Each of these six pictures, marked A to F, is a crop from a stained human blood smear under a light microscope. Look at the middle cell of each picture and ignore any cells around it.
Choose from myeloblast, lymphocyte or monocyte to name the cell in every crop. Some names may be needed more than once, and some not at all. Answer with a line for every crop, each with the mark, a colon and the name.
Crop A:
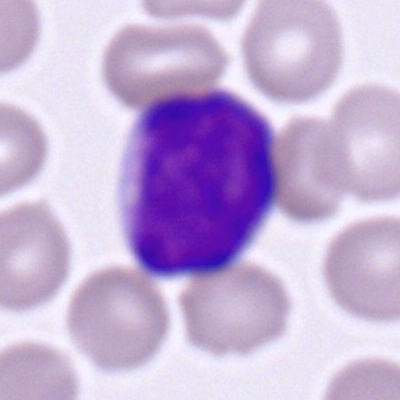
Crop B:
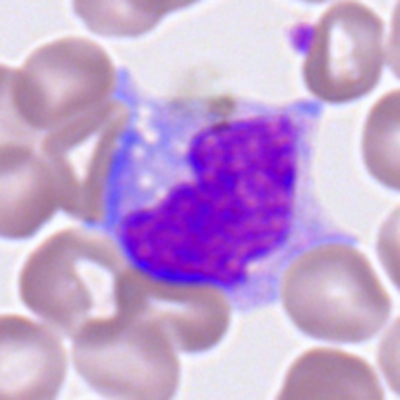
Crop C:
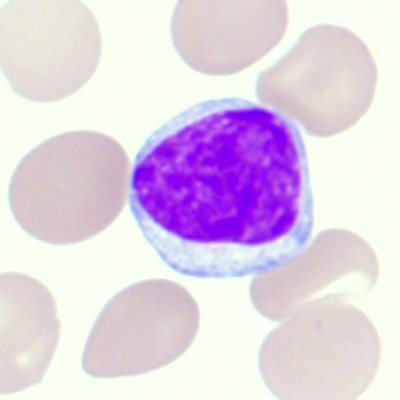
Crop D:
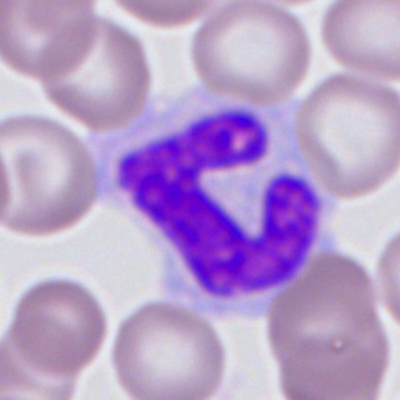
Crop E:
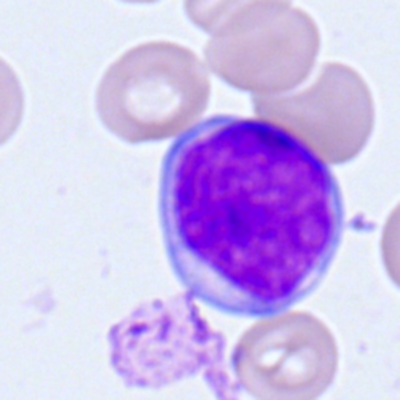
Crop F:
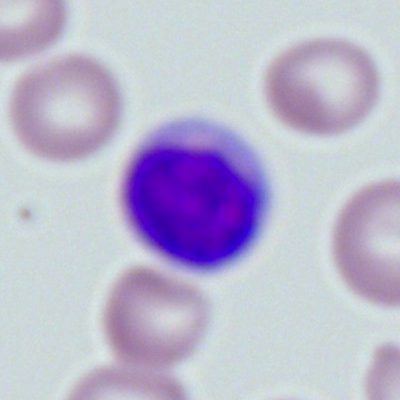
A: myeloblast
B: monocyte
C: lymphocyte
D: monocyte
E: myeloblast
F: lymphocyte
